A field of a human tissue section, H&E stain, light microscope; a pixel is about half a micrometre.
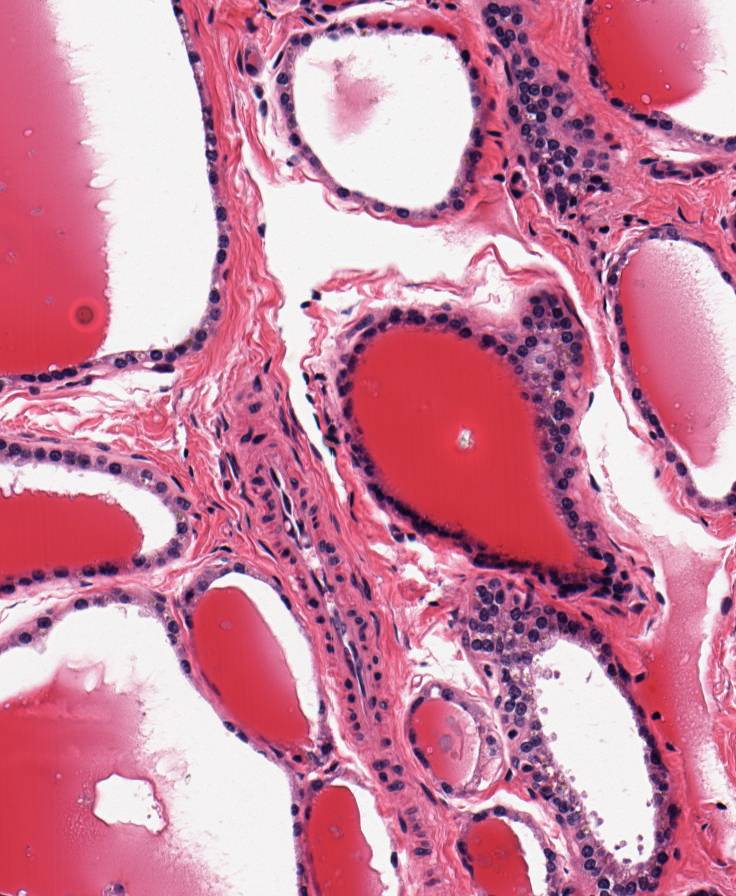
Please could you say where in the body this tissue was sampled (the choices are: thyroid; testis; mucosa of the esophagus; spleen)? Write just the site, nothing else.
thyroid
